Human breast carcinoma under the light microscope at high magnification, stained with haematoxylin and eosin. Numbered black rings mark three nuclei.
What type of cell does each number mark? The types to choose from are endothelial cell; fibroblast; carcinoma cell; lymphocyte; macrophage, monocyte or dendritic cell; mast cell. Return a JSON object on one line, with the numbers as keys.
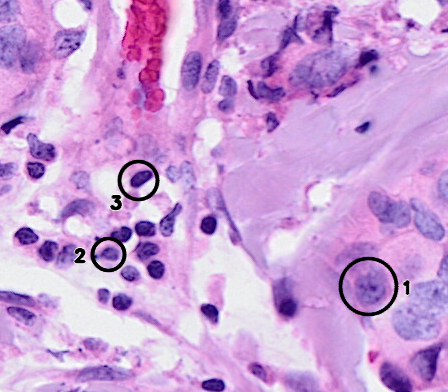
{"1": "carcinoma cell", "2": "lymphocyte", "3": "lymphocyte"}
